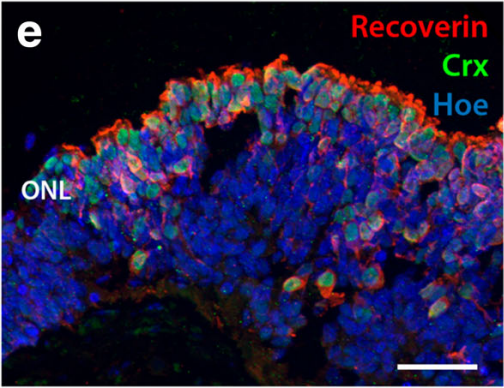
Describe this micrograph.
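This is a section of neural retinal tissue whose outer, curved surface is lined by photoreceptors. Along the upper edge the cells sit in an outer layer a few cells deep; their cell bodies are rimmed by red and their round nuclei glow green, and a red line marks the very surface. Some red-rimmed cells with green nuclei lie scattered deeper in the tissue.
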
